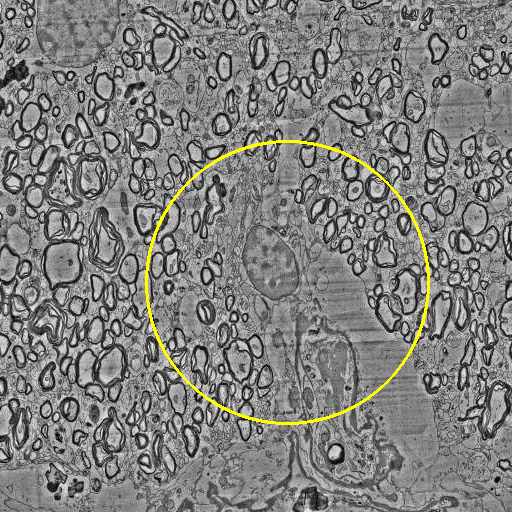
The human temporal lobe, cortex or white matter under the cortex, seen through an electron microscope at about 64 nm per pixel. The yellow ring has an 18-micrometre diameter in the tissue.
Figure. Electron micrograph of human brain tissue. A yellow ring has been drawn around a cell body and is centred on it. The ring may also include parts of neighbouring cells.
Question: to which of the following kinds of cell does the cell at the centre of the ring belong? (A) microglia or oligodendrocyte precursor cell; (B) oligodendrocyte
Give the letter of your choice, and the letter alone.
A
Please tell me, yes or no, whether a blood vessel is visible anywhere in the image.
Yes, one appears.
